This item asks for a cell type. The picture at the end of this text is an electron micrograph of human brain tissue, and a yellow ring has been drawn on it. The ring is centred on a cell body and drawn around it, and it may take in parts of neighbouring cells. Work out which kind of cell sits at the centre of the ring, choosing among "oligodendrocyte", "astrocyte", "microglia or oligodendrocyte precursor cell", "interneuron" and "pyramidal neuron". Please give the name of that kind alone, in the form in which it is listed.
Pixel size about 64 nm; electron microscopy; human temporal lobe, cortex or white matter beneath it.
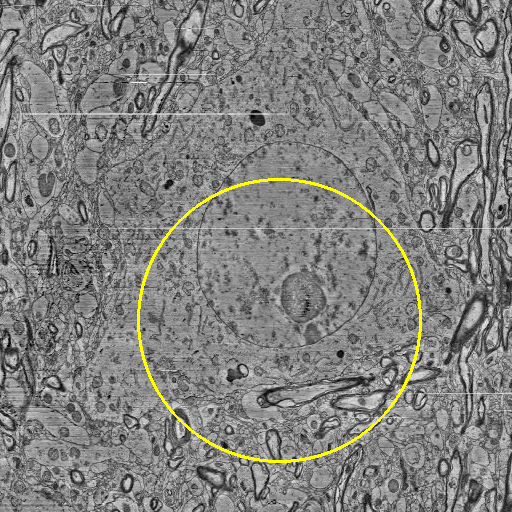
pyramidal neuron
